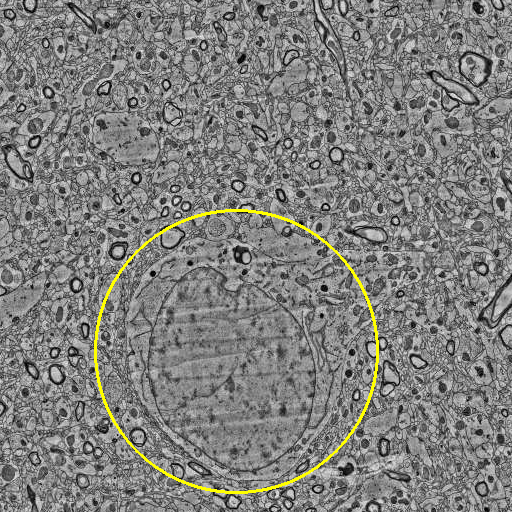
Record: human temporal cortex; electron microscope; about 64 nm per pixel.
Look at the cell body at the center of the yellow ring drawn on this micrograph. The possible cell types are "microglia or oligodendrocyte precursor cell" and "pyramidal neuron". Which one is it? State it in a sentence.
The cell in the middle of the ring is a pyramidal neuron.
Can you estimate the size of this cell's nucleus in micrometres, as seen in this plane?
In this plane, about 13 micrometres in length and 11 in width.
